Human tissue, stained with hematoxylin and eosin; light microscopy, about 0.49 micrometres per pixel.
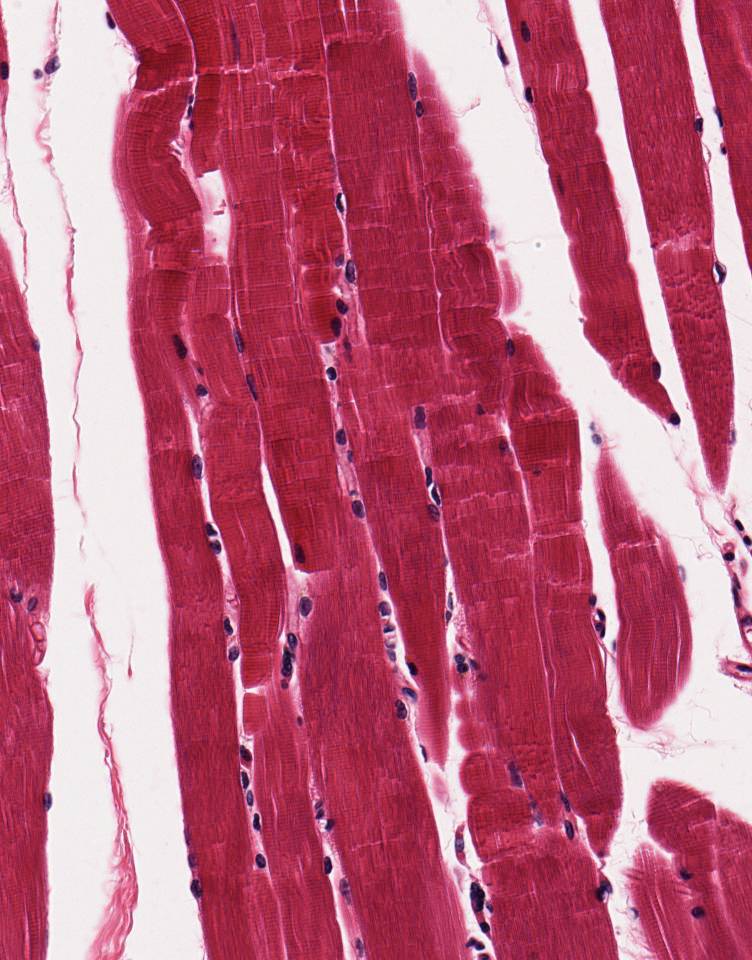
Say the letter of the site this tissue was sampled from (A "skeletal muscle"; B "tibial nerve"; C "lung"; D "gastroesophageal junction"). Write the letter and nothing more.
A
